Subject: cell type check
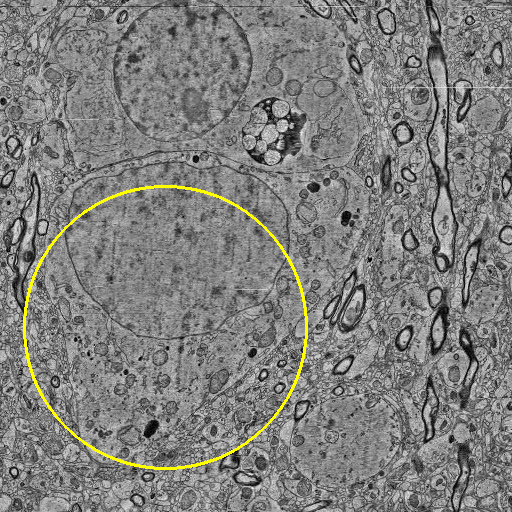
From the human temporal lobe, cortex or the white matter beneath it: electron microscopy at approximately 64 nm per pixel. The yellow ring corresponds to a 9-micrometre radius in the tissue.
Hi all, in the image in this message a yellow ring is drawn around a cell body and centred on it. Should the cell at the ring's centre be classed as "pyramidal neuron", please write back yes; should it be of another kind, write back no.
yes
